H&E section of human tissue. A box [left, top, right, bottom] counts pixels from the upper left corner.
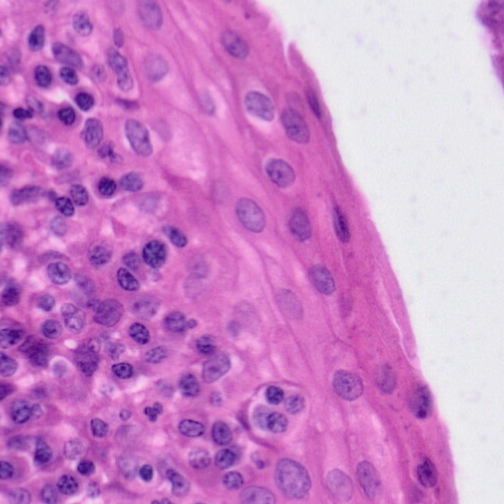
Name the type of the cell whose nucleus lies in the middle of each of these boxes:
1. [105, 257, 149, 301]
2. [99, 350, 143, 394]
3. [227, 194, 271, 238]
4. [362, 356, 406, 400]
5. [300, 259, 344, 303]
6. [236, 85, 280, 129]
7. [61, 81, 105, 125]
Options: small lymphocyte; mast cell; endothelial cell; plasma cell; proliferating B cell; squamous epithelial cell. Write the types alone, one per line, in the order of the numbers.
plasma cell
plasma cell
squamous epithelial cell
squamous epithelial cell
squamous epithelial cell
squamous epithelial cell
plasma cell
